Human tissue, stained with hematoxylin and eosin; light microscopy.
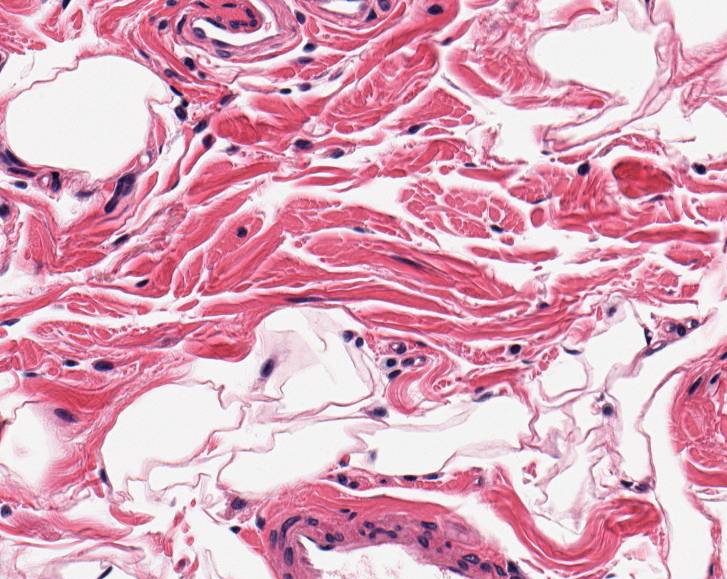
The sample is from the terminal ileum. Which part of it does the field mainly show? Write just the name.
dense connective tissue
